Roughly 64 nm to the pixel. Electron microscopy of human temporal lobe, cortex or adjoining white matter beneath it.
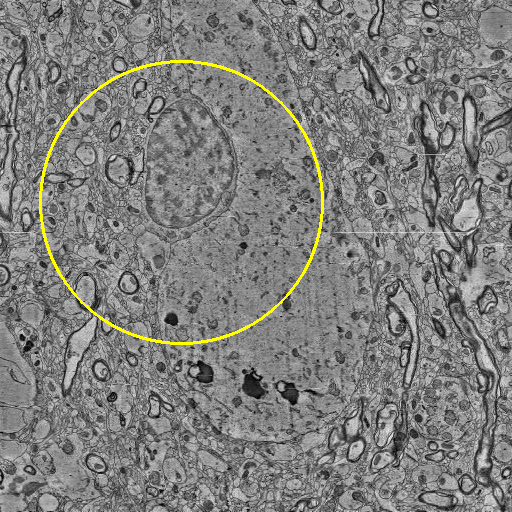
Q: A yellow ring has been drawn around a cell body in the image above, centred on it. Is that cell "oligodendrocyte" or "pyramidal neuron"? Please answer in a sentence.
The ring surrounds the cell body of an oligodendrocyte.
